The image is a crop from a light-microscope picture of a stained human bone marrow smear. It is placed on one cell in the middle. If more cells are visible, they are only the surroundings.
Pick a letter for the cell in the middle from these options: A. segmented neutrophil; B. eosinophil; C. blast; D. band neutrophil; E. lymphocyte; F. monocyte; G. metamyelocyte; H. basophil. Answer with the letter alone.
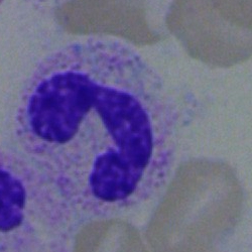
A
